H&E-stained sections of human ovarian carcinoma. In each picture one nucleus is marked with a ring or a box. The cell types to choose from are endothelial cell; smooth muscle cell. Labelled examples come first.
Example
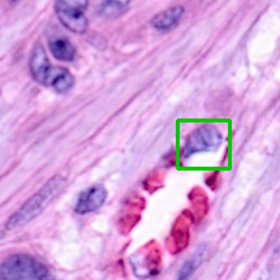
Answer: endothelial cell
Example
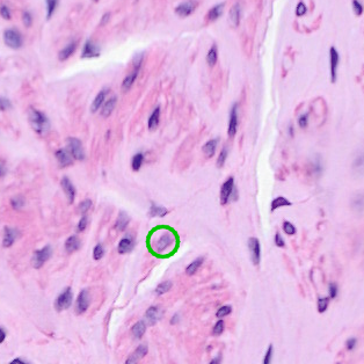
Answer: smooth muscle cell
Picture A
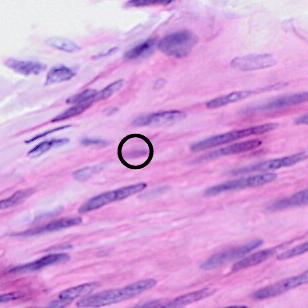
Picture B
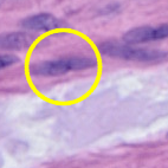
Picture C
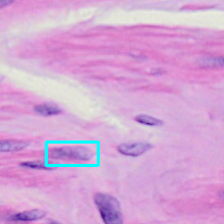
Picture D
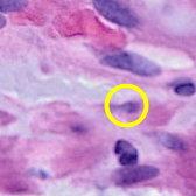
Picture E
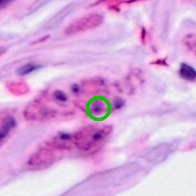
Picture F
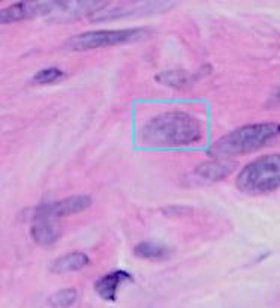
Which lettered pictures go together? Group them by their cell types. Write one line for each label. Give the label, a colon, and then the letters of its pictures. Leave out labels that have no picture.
smooth muscle cell: A, B, C, D, E, F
